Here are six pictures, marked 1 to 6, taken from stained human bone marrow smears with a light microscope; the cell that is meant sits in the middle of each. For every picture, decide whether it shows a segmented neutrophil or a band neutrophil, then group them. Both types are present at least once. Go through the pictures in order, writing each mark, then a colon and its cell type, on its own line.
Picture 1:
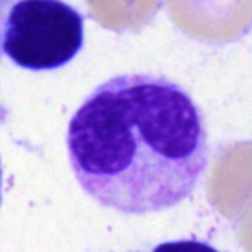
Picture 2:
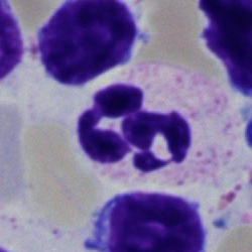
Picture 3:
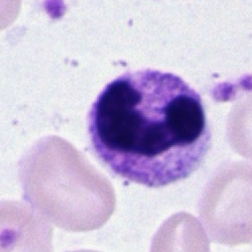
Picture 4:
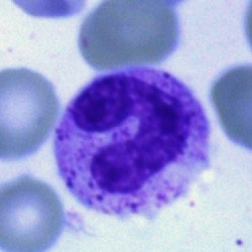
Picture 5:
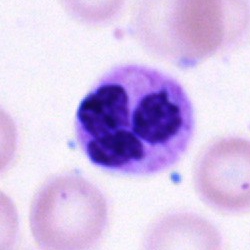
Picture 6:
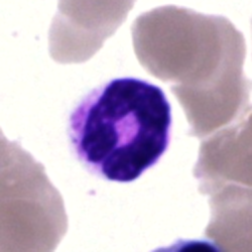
1: band neutrophil
2: segmented neutrophil
3: segmented neutrophil
4: band neutrophil
5: segmented neutrophil
6: segmented neutrophil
